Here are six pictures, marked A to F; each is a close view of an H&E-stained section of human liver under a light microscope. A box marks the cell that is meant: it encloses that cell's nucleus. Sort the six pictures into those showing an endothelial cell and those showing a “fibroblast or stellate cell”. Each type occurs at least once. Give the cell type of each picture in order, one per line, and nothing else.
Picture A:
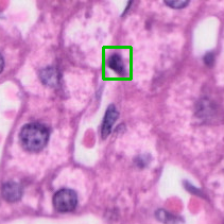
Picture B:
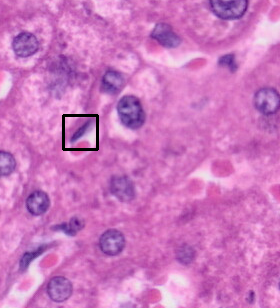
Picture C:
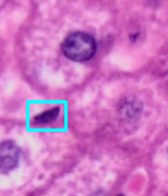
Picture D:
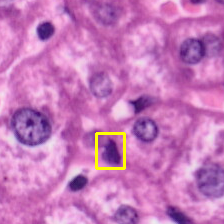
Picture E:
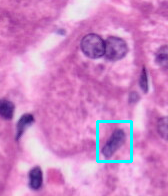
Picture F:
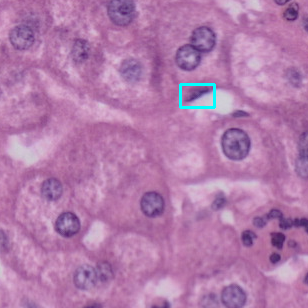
fibroblast or stellate cell
endothelial cell
endothelial cell
fibroblast or stellate cell
fibroblast or stellate cell
endothelial cell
